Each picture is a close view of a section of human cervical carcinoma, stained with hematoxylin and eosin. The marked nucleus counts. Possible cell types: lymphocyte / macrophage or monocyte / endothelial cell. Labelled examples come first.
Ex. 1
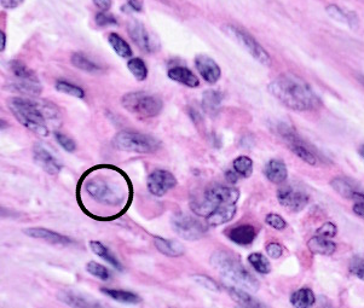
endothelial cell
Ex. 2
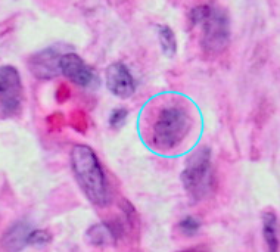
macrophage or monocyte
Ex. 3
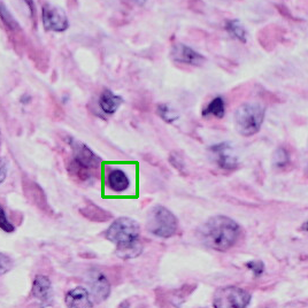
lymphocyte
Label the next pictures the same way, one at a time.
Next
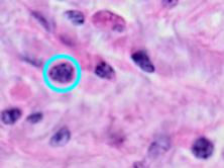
lymphocyte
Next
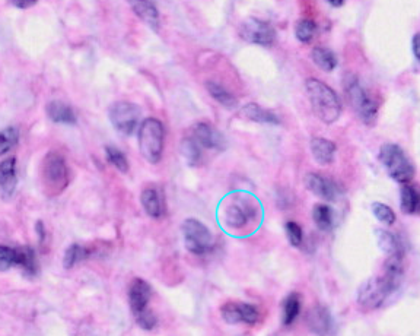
macrophage or monocyte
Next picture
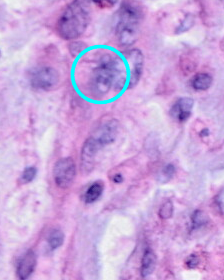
endothelial cell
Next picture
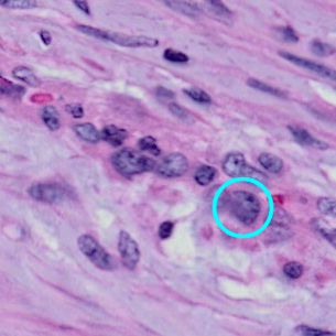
endothelial cell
